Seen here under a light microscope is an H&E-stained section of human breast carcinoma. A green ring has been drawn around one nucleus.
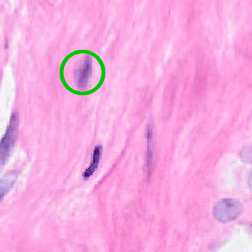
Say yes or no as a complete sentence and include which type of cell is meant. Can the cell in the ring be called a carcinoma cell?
No, within this section, the cell in the ring is categorized as a fibroblast rather than a carcinoma cell.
